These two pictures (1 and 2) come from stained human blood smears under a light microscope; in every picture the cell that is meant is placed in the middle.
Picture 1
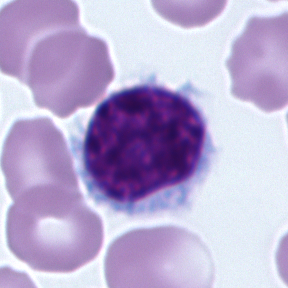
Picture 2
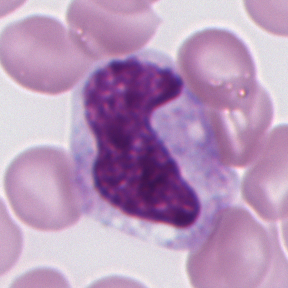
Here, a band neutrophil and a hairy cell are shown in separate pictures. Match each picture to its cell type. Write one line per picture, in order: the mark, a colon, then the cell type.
1: hairy cell
2: band neutrophil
